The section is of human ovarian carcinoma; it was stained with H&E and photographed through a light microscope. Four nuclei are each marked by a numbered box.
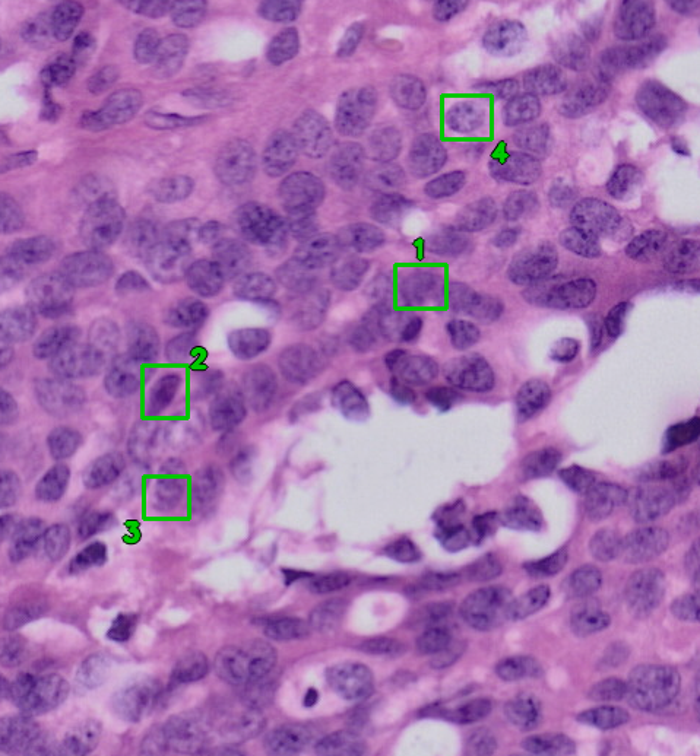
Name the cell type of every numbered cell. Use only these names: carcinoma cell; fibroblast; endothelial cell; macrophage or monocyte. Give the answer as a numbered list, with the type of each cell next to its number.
1. carcinoma cell
2. carcinoma cell
3. carcinoma cell
4. macrophage or monocyte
